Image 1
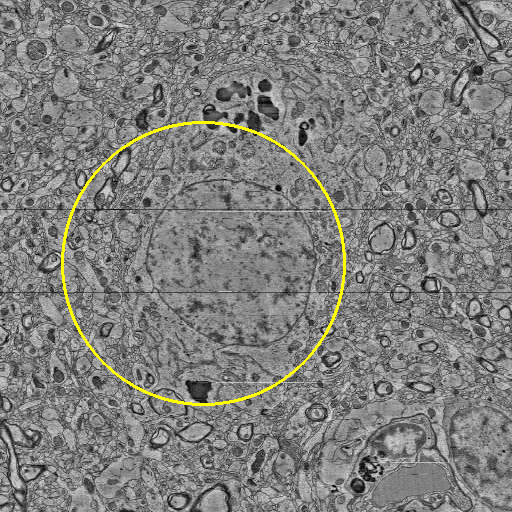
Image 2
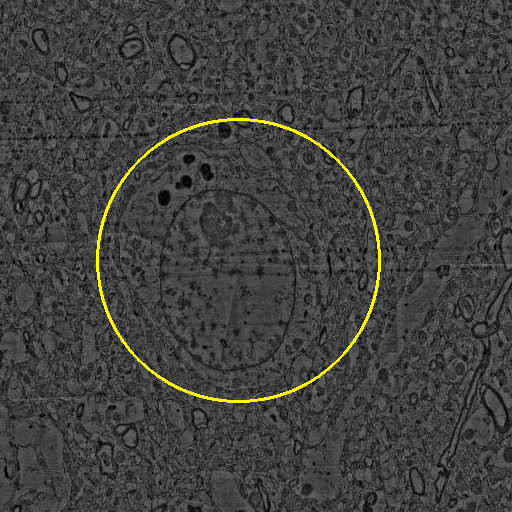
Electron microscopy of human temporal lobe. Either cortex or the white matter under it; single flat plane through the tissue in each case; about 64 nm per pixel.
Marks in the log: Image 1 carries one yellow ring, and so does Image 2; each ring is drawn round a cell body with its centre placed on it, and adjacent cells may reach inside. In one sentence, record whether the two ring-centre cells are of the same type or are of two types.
The two cells at the ring centres, one in each image, are of the same type.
